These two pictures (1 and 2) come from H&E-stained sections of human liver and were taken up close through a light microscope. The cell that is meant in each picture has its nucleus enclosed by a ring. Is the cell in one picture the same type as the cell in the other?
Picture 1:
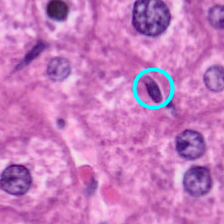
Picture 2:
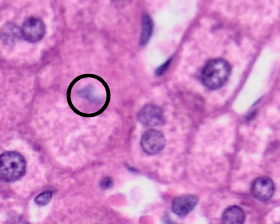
no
